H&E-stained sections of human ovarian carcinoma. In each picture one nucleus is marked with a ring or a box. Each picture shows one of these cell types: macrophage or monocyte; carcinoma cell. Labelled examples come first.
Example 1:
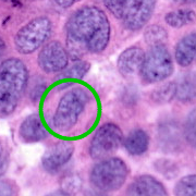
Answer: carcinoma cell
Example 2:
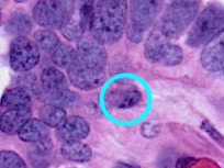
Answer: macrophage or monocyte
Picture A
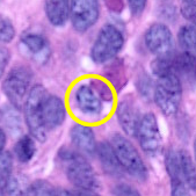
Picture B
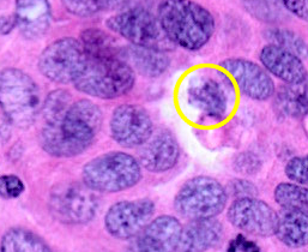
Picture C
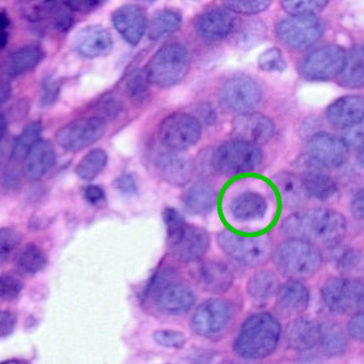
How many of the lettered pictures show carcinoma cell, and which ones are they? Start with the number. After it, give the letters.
0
